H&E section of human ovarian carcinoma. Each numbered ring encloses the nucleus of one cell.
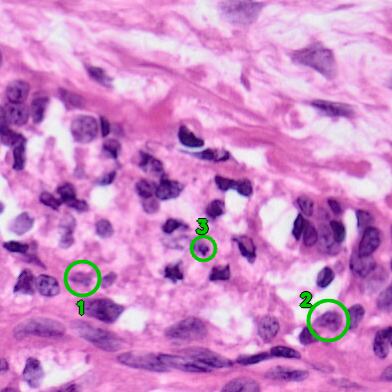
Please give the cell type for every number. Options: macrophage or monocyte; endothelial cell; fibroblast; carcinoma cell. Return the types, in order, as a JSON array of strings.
["macrophage or monocyte", "carcinoma cell", "macrophage or monocyte"]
